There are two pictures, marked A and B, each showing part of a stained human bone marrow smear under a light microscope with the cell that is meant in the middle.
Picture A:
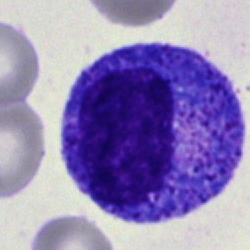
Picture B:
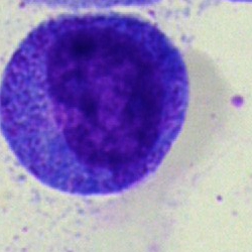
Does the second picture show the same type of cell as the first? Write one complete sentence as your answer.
Yes, the two pictures both show promyelocytes.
